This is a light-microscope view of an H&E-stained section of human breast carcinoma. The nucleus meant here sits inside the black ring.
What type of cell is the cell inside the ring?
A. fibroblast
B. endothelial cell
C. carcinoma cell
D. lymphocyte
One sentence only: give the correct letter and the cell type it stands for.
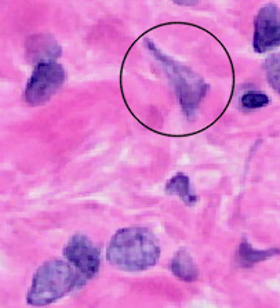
It is correct to say that the cell inside the ring is a fibroblast, as option A does.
